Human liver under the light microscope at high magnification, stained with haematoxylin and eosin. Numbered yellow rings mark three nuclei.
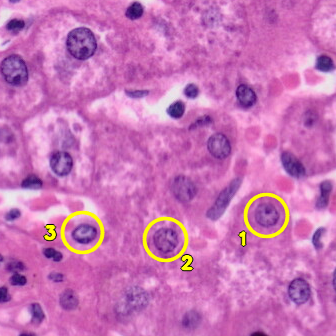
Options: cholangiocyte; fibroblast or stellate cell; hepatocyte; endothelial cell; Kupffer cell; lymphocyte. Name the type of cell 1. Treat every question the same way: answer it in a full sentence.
The cell marked with the number 1 is a hepatocyte.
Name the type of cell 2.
The one labeled 2 is a hepatocyte, to put it simply.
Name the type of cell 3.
Marked with the number 3, this cell is a Kupffer cell.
